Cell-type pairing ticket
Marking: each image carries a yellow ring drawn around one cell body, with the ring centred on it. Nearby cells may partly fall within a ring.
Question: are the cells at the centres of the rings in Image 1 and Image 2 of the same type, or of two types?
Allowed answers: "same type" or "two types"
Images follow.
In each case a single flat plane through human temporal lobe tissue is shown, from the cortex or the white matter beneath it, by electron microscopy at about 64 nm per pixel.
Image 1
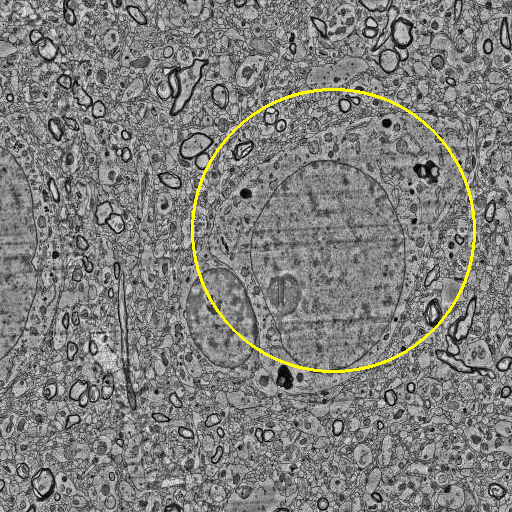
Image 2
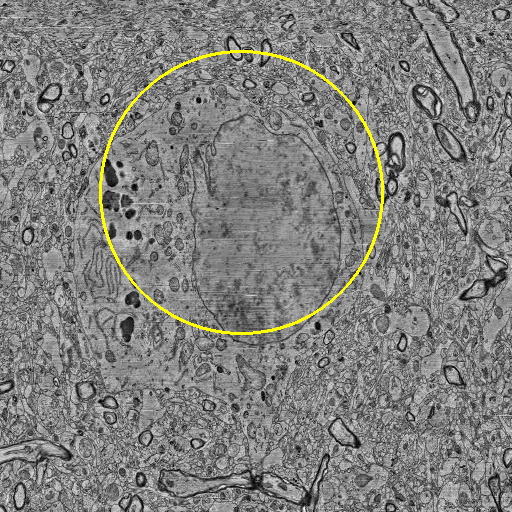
same type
